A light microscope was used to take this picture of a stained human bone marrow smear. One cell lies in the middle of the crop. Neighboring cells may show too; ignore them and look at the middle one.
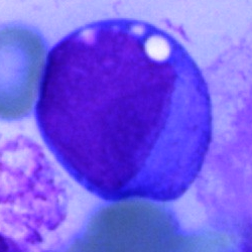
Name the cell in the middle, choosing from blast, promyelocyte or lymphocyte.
blast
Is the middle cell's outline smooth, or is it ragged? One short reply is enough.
There are no projections here; the outline is simply smooth.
